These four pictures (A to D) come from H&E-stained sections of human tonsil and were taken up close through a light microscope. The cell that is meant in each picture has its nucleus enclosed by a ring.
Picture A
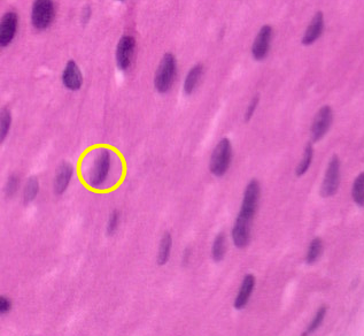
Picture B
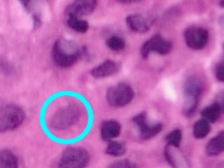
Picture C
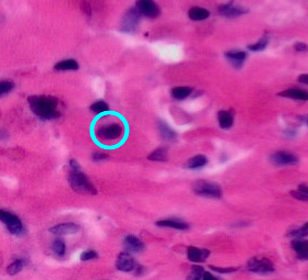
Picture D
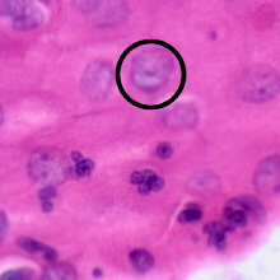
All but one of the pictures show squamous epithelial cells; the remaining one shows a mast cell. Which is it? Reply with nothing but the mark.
C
